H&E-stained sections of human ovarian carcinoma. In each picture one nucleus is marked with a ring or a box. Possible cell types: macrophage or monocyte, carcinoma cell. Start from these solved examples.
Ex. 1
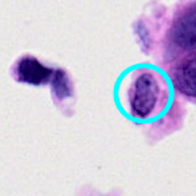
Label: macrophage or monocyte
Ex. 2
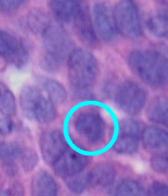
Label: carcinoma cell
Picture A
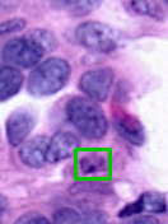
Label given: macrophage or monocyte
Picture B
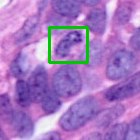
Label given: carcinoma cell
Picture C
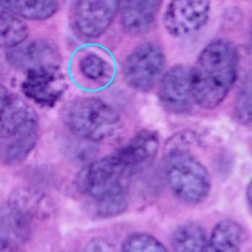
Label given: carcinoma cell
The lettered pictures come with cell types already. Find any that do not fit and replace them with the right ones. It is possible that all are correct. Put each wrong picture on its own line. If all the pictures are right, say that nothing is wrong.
Wrong: B (carcinoma cell); correct: macrophage or monocyte
Wrong: C (carcinoma cell); correct: macrophage or monocyte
